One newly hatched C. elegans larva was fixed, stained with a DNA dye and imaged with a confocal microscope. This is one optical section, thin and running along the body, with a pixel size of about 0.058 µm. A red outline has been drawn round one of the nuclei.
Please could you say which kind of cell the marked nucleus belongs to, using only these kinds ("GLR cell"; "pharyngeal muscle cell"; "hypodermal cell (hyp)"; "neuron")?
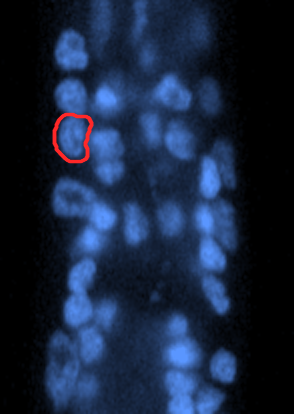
hypodermal cell (hyp)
